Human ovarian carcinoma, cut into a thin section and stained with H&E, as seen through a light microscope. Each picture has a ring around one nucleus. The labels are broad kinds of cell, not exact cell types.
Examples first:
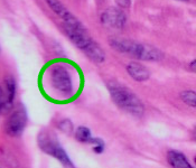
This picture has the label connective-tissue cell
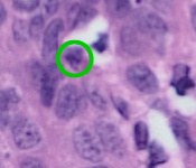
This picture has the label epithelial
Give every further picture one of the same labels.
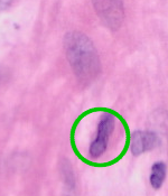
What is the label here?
connective-tissue cell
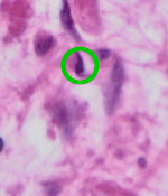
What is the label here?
connective-tissue cell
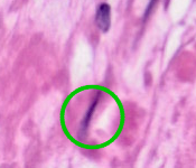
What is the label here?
connective-tissue cell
